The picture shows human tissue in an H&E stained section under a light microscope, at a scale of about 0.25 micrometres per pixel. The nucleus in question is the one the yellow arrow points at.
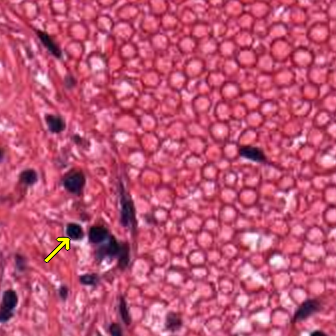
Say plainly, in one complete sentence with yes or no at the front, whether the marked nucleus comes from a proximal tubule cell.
No, a supporting cell, not a proximal tubule cell, carries the marked nucleus.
